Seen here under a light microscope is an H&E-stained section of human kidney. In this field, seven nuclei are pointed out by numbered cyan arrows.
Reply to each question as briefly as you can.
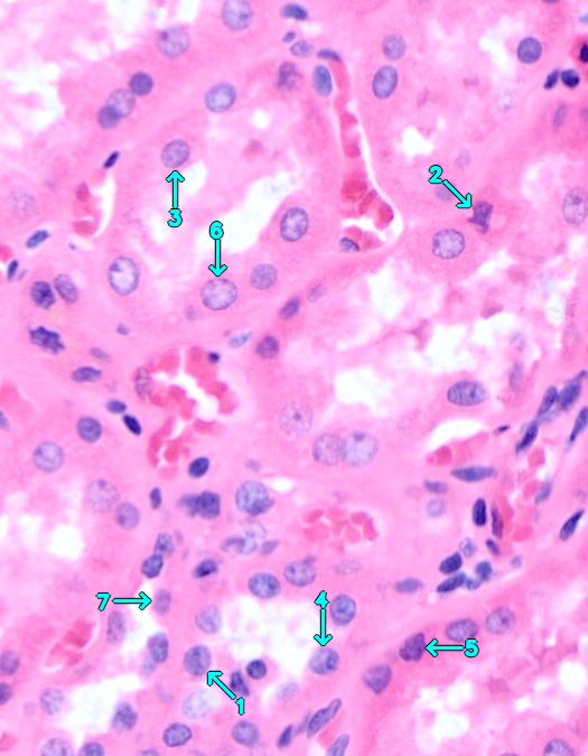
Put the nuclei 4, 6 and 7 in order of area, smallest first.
7, 4, 6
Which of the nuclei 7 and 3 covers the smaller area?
7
